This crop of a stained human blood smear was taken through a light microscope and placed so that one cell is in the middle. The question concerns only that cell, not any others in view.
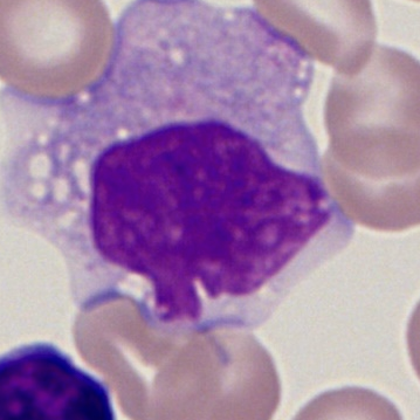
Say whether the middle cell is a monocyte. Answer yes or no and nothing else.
yes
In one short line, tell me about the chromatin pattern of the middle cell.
The key point is fine chromatin with no coarse clumps.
